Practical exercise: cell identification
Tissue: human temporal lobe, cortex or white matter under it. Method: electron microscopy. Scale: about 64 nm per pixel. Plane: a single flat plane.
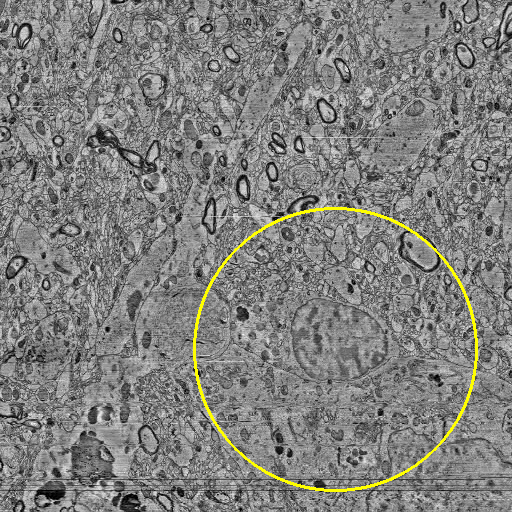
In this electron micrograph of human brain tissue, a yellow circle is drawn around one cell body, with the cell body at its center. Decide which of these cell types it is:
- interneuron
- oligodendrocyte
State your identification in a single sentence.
The ringed cell is an oligodendrocyte.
